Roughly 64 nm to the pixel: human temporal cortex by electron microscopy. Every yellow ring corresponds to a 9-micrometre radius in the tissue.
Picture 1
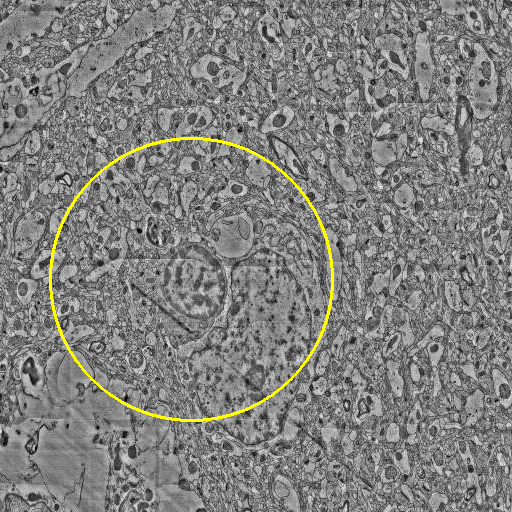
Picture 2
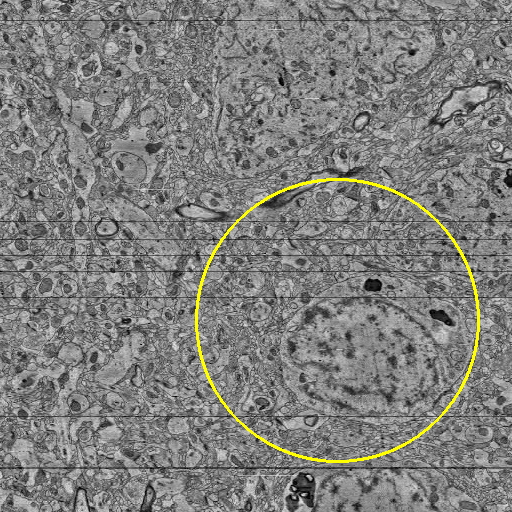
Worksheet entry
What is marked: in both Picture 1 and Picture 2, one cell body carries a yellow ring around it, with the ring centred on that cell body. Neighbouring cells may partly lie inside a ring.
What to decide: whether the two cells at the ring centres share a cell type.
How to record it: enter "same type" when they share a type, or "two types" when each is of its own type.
two types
